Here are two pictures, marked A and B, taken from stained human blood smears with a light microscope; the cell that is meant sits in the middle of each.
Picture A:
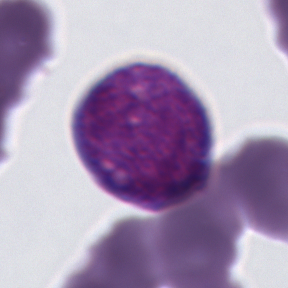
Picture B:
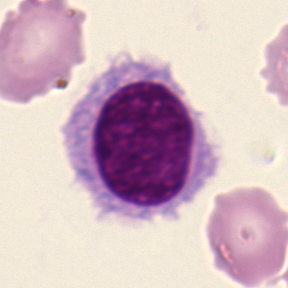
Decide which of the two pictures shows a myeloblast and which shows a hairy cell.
A: myeloblast
B: hairy cell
